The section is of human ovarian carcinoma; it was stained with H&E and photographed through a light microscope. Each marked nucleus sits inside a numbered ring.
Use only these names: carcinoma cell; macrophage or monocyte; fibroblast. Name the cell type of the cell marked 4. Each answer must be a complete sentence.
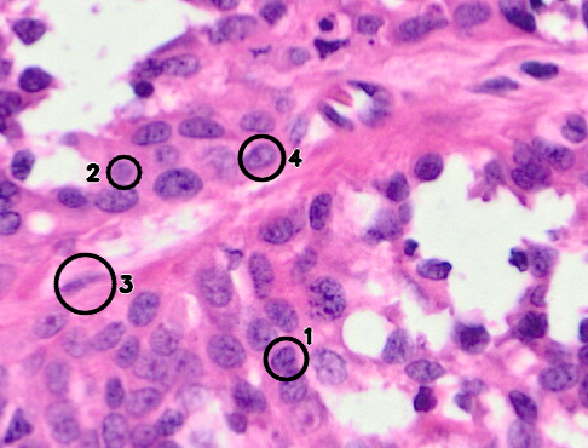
The cell identified by number 4 is a carcinoma cell.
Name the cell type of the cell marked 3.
The cell numbered 3 has been identified as a fibroblast.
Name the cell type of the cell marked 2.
The cell assigned the number 2 is a carcinoma cell.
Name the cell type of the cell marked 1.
The correct label for cell 1 is a carcinoma cell.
